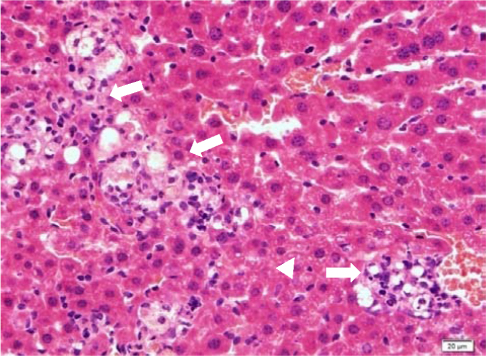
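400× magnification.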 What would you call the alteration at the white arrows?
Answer: granuloma and lymphocytic infiltration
